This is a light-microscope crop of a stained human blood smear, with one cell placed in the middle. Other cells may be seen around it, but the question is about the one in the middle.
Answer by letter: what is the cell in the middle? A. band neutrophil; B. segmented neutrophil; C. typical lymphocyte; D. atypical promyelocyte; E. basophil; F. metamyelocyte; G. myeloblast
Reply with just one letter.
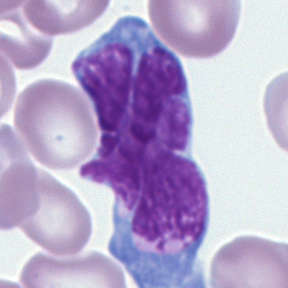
G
